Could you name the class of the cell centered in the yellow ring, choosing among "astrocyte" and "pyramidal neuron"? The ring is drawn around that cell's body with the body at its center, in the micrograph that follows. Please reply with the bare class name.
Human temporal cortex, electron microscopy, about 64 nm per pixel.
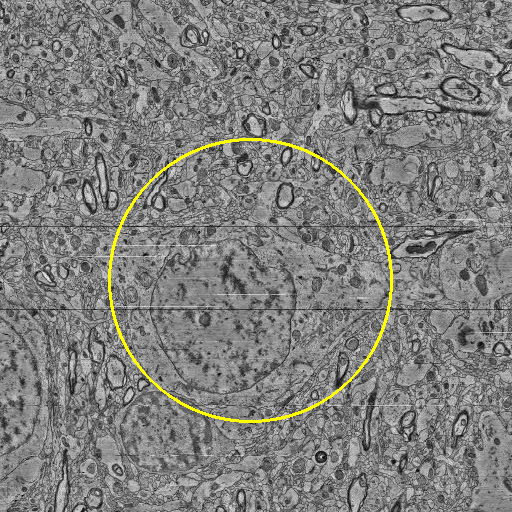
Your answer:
pyramidal neuron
